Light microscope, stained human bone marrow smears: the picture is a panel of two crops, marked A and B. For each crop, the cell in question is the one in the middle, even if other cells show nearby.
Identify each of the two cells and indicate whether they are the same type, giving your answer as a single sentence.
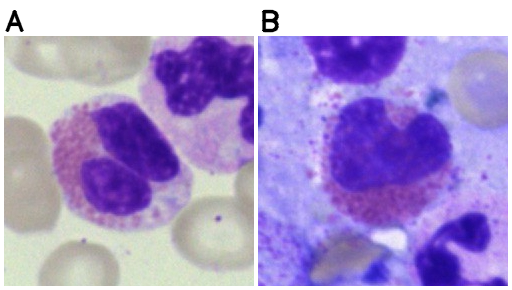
Yes, both crops show a cell each, and these are eosinophils.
